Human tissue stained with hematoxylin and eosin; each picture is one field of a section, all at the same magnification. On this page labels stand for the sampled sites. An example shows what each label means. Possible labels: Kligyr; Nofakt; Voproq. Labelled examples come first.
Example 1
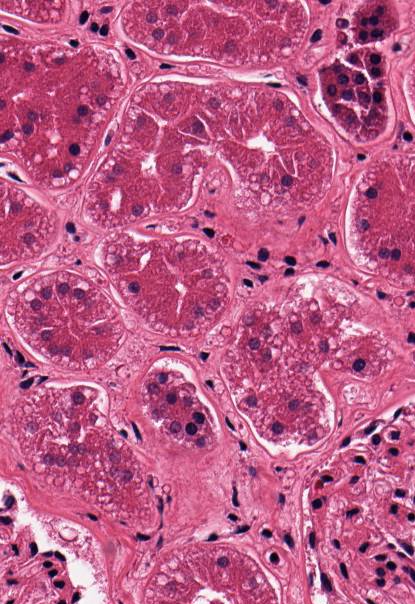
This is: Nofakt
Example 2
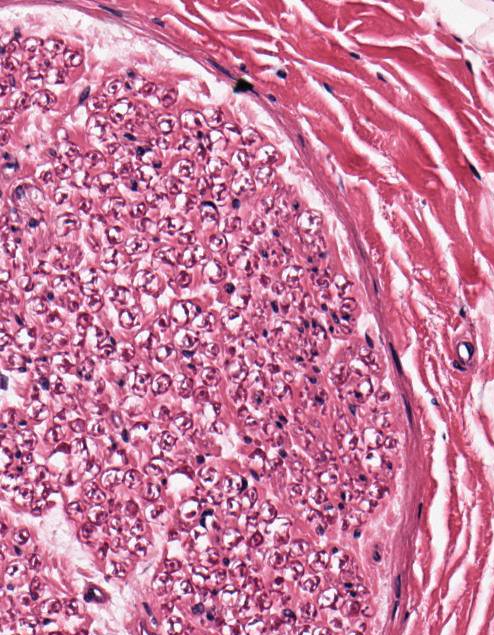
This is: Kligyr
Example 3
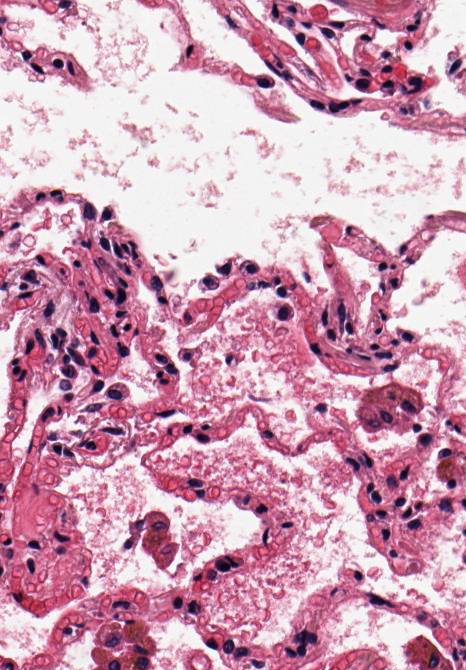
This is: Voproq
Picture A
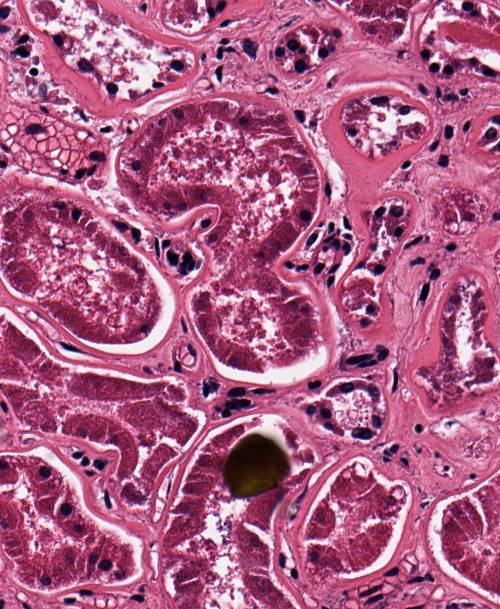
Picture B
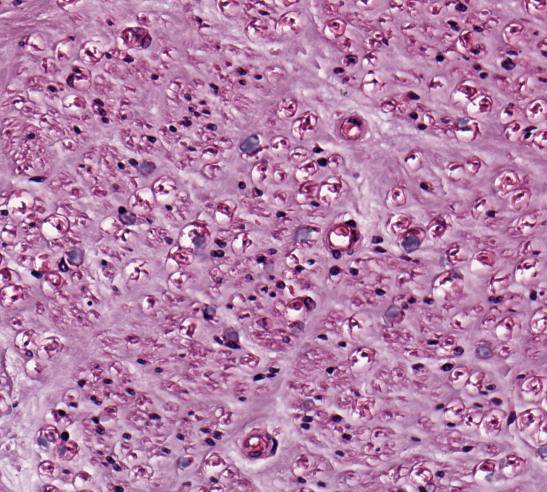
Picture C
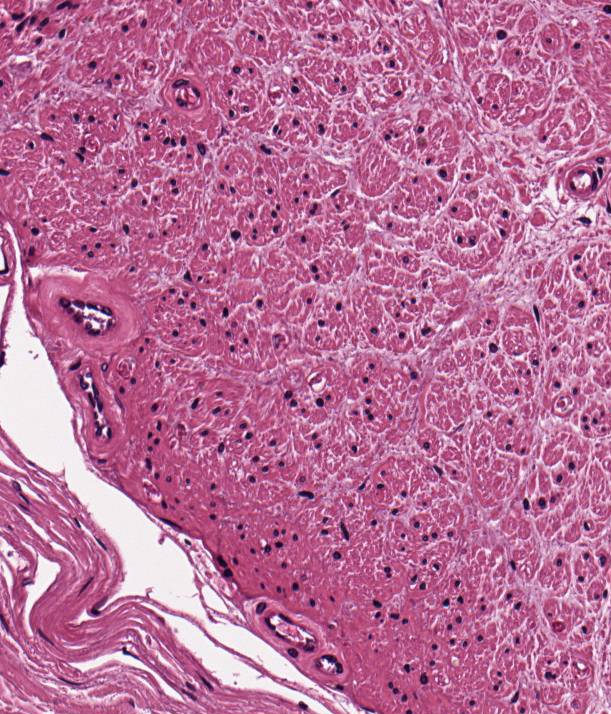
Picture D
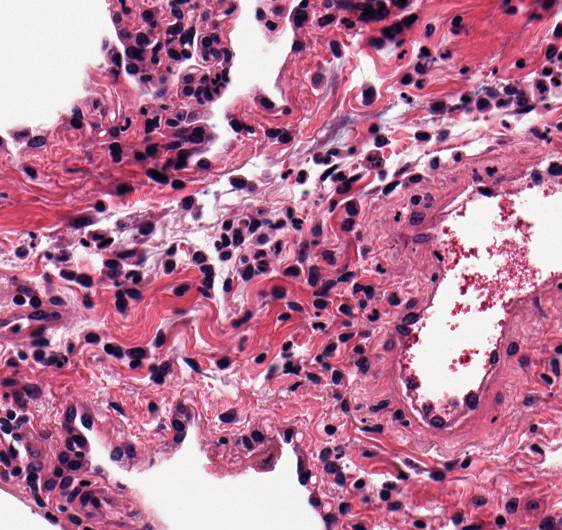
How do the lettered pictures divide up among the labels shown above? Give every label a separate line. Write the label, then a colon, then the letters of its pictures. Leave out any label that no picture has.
Kligyr: B, C
Nofakt: A
Voproq: D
